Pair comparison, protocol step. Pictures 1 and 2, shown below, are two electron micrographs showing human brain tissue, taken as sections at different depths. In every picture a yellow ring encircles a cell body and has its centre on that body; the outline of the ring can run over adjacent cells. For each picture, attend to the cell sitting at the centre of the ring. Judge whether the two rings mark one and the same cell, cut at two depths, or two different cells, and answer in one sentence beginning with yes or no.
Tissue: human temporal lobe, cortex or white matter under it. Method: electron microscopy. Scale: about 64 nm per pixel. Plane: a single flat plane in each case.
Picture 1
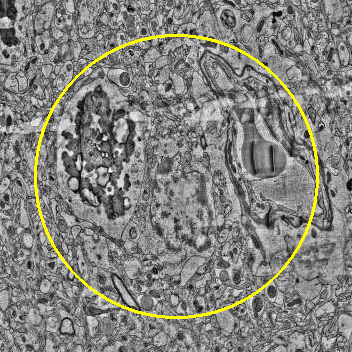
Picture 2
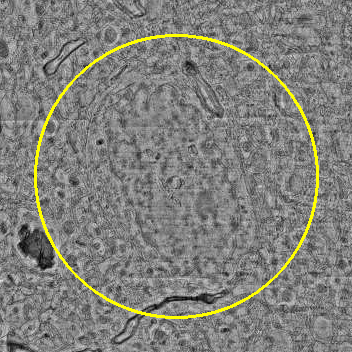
No, the two rings do not mark one cell; they mark two different cells.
